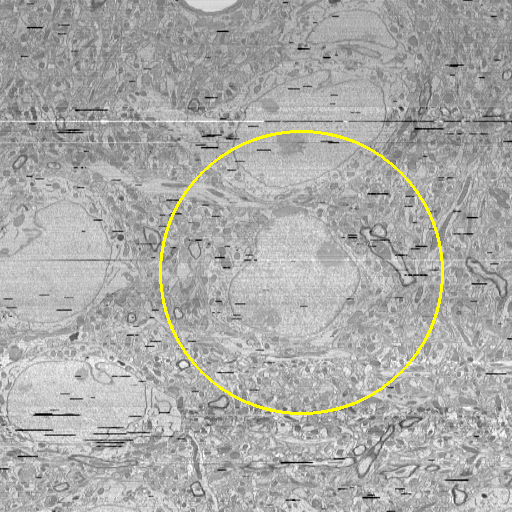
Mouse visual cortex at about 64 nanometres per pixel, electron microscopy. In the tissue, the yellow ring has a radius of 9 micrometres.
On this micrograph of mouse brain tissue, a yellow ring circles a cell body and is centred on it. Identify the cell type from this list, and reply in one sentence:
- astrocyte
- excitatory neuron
The cell at the centre is an astrocyte.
